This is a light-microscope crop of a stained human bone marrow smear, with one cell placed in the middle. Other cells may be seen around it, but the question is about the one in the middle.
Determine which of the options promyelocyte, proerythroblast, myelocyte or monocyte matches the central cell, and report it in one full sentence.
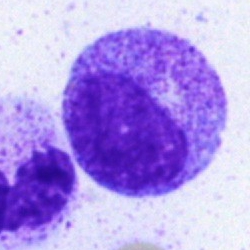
The cell that lies at the centre of the crop is a myelocyte.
